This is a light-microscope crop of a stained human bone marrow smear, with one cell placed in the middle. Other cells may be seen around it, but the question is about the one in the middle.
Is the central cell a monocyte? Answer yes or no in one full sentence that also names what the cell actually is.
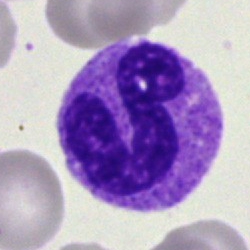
No, the central cell is designated a segmented neutrophil and not a monocyte.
